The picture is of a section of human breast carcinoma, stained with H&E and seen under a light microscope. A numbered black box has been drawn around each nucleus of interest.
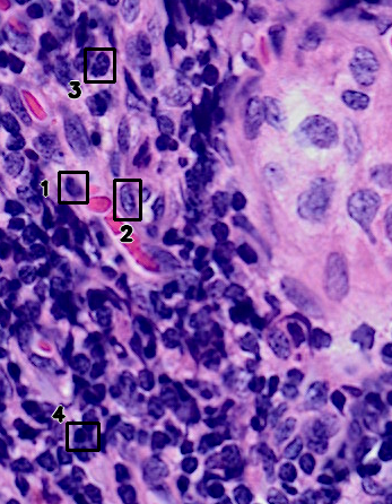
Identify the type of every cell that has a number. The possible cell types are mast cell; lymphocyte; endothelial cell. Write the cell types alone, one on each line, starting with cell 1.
lymphocyte
endothelial cell
lymphocyte
lymphocyte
